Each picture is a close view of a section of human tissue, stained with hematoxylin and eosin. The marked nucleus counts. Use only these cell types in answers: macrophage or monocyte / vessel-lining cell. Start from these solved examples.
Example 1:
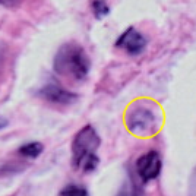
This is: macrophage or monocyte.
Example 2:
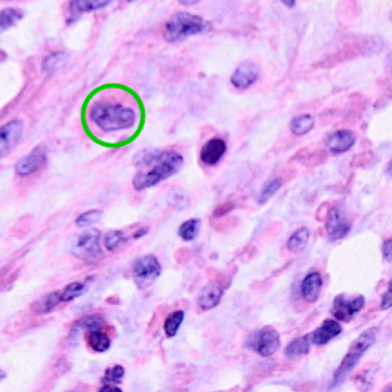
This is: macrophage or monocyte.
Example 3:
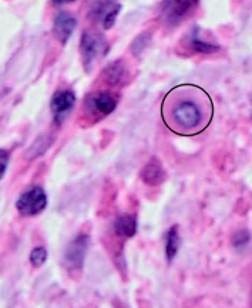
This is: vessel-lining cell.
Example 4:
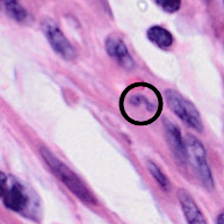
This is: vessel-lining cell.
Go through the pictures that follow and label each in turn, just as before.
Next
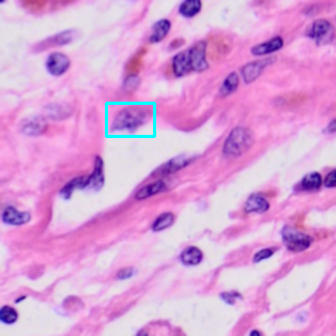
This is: vessel-lining cell.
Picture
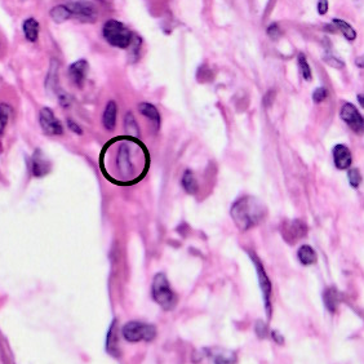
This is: vessel-lining cell.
